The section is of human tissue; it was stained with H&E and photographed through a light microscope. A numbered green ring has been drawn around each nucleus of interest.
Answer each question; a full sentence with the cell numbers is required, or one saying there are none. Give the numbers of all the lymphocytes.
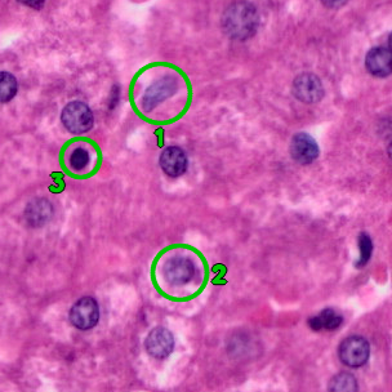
Of the cells bearing numbers, the only one that is a lymphocyte is cell 3.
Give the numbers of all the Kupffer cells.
In this set of numbered cells, only cell 1 is a Kupffer cell.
